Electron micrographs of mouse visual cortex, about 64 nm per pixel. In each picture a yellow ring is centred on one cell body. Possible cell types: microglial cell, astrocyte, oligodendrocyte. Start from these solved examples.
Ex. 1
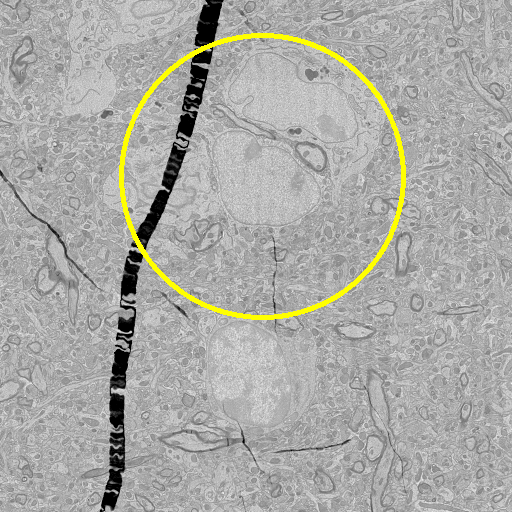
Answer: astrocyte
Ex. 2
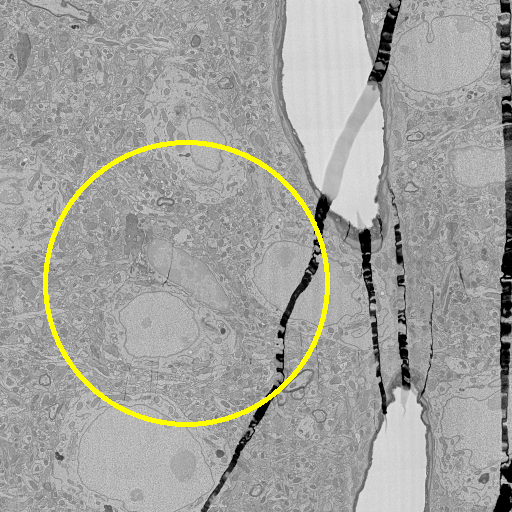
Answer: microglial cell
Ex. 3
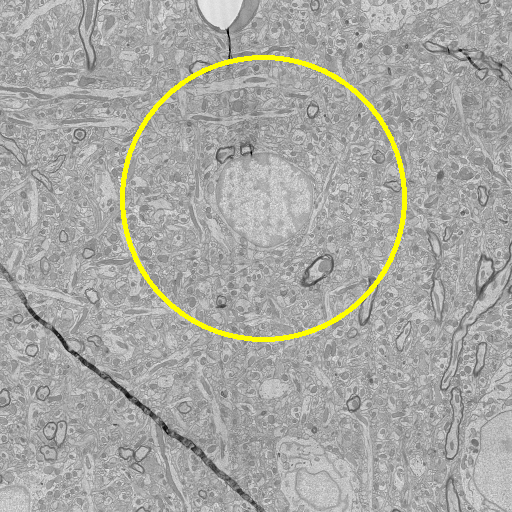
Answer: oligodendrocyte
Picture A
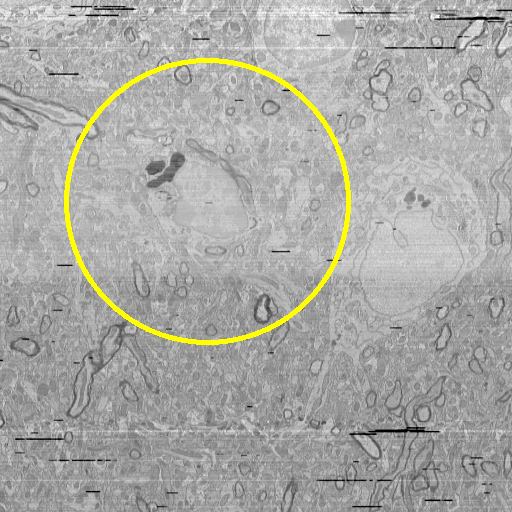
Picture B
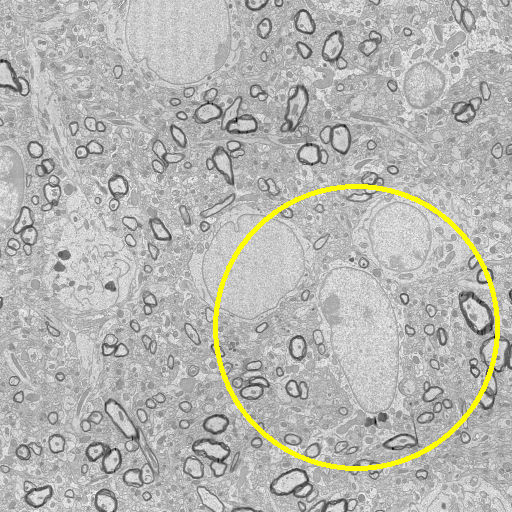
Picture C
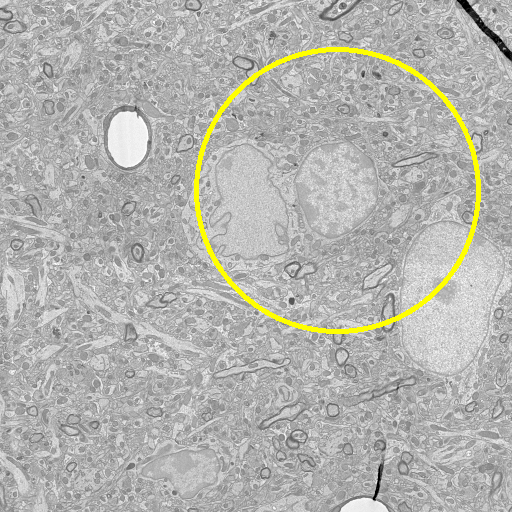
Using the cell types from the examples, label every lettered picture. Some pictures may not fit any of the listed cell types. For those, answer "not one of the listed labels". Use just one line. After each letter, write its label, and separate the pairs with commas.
A microglial cell, B astrocyte, C oligodendrocyte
